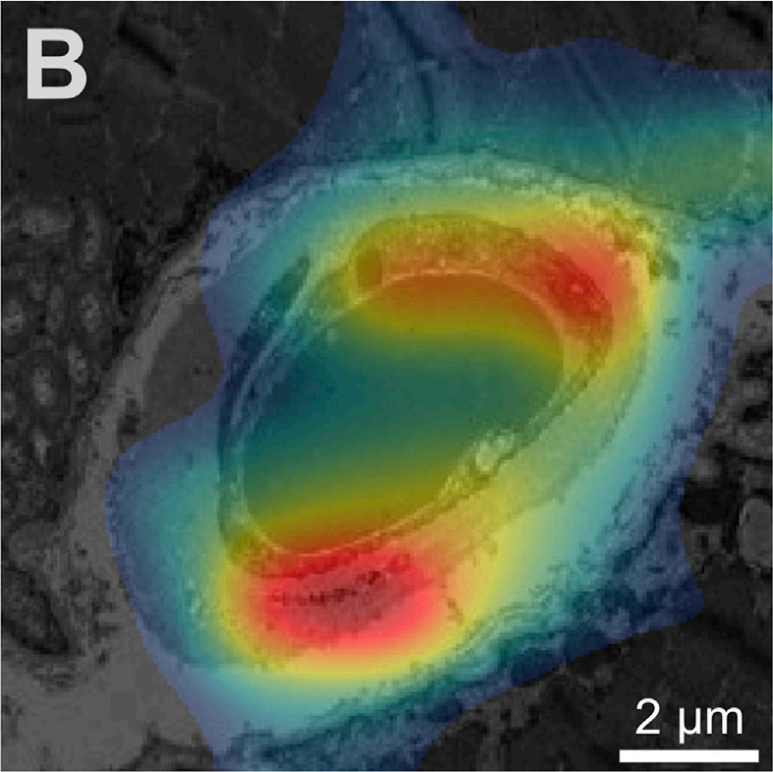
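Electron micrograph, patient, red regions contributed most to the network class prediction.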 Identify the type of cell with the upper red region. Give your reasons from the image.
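Endothelium cell. The upper red region lies over the wall that directly lines the lumen. The lining there forms a thin band around the oval lumen.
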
